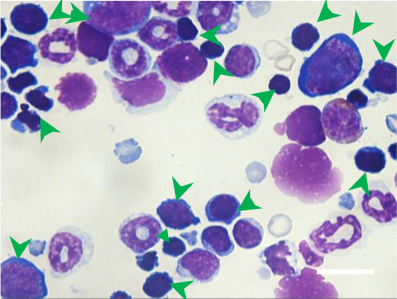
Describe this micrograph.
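Crowded round marrow cells are seen, many of them with round nuclei and intensely dark-blue cytoplasm, and one large cell with a broad blue cytoplasmic rim around a big, finely textured nucleus. Between them lie fewer cells with ring-shaped or lobed nuclei in pinkish-lilac cytoplasm, which are white cell precursors. The dark, basophilic round cells are early red cell precursors, proerythroblasts and basophilic erythroblasts, and they clearly outnumber the white cell lineage here.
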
